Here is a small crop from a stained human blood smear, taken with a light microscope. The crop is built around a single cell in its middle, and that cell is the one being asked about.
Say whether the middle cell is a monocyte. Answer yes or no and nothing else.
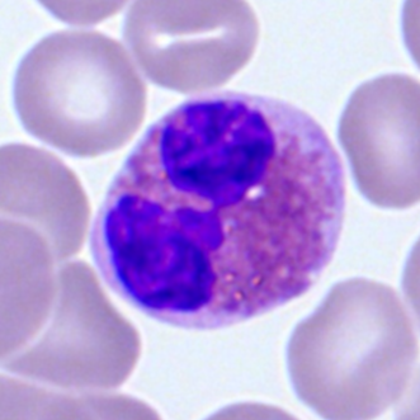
no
